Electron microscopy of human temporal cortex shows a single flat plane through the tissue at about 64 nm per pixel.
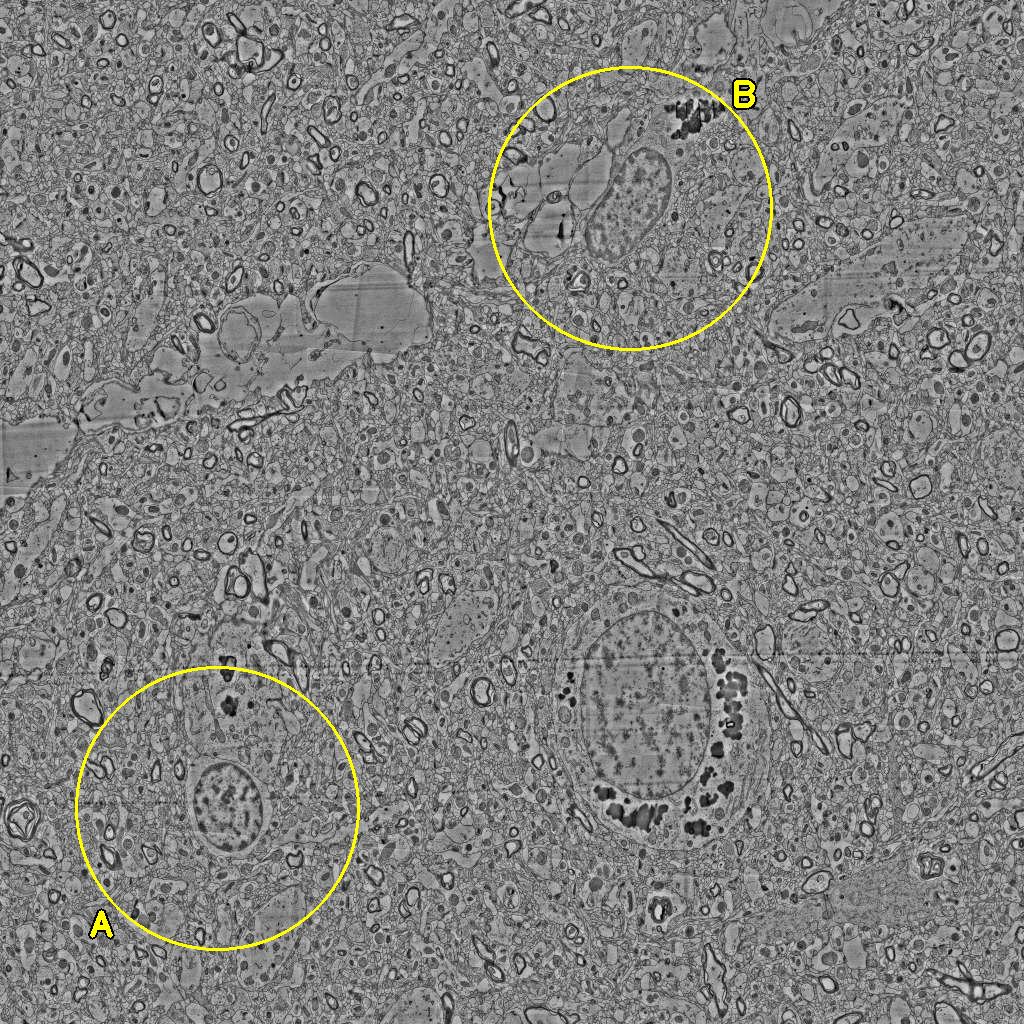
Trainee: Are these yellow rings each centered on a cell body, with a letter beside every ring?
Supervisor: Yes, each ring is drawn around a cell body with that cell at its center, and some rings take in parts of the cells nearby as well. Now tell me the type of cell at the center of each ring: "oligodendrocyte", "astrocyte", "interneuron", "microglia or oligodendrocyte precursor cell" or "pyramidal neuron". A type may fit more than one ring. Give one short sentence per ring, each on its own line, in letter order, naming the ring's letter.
Ring A has a microglial cell or oligodendrocyte precursor cell at its center.
Ring B has an oligodendrocyte at its center.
